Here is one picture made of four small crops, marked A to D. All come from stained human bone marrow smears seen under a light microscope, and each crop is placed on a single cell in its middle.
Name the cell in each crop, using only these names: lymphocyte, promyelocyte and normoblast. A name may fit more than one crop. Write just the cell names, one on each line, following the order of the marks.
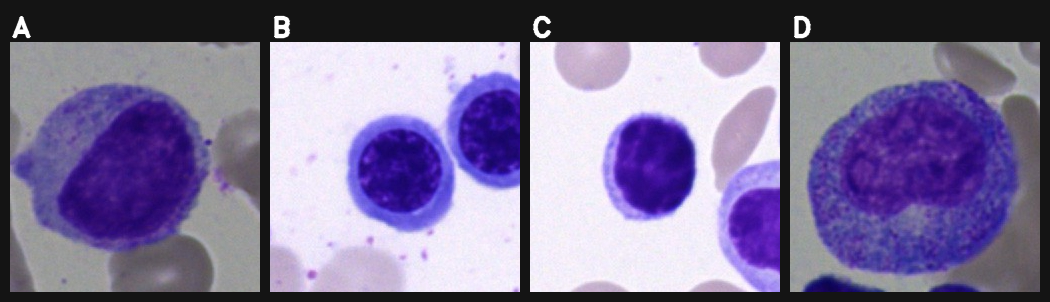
promyelocyte
normoblast
lymphocyte
promyelocyte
